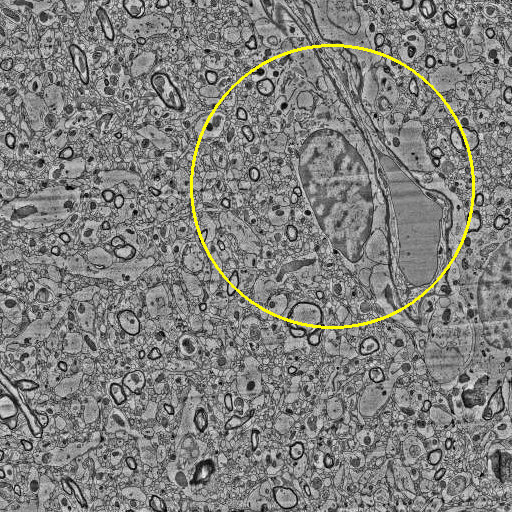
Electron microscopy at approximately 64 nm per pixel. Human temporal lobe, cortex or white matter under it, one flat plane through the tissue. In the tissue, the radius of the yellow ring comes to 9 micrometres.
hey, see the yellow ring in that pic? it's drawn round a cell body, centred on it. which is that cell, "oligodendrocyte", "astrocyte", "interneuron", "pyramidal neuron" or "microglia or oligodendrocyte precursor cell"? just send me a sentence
The cell in the ring is a microglial cell or oligodendrocyte precursor cell.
